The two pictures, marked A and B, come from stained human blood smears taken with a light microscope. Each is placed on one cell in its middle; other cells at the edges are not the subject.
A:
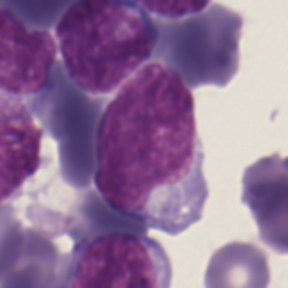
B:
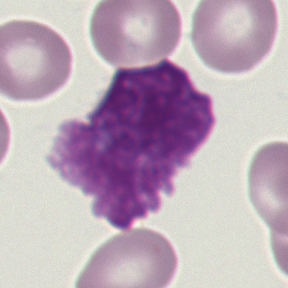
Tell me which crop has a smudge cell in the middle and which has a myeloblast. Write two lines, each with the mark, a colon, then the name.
A: myeloblast
B: smudge cell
